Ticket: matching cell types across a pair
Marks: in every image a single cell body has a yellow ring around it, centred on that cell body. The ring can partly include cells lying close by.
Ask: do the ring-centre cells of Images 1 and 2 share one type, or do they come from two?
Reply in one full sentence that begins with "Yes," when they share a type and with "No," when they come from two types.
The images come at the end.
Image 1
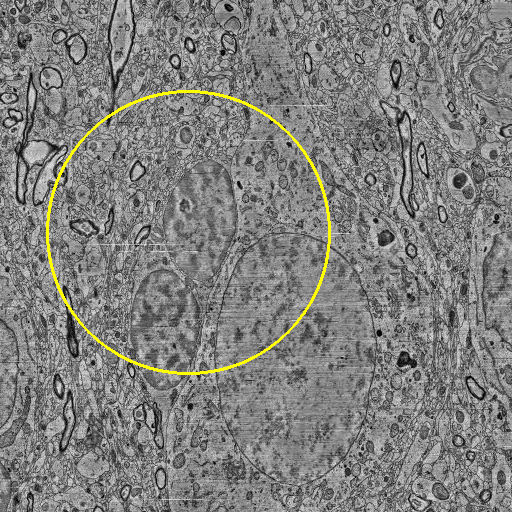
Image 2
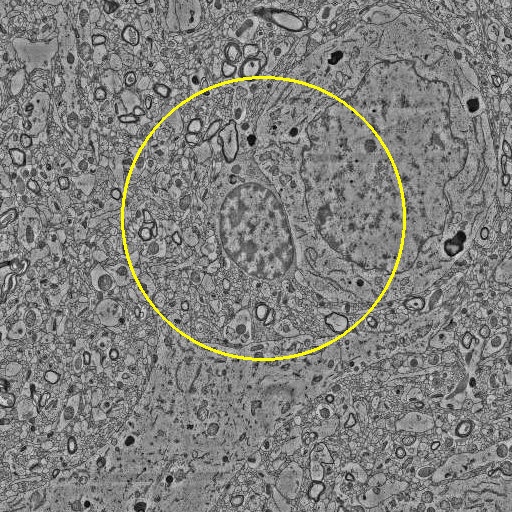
Yes, the cells in the centres of the rings in Image 1 and Image 2 share one type.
